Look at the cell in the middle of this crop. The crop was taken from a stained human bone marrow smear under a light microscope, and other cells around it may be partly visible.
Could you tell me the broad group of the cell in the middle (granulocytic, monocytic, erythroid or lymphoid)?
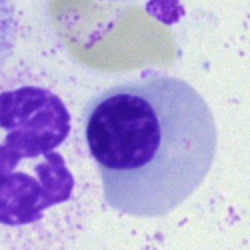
erythroid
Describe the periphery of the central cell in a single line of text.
Happy to help: the outline is smooth and shows no projections.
